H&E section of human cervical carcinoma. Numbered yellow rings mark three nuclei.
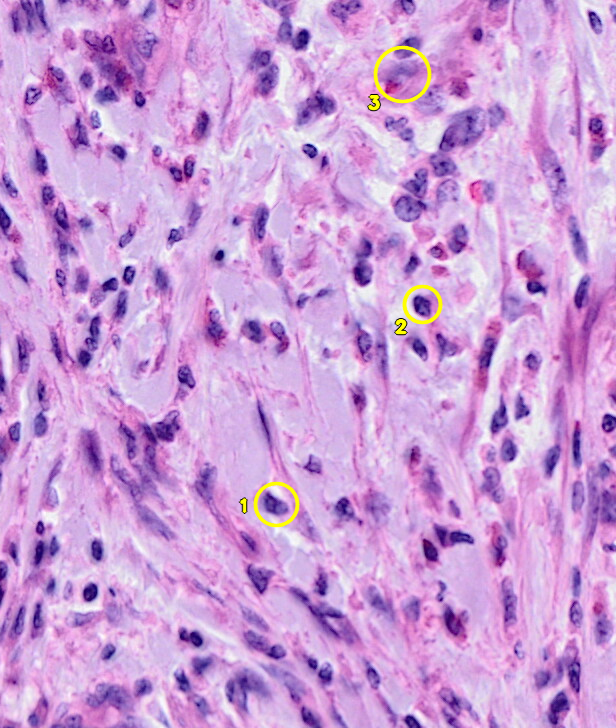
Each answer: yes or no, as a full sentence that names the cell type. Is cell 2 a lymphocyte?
Yes, the number 2 belongs to a lymphocyte.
